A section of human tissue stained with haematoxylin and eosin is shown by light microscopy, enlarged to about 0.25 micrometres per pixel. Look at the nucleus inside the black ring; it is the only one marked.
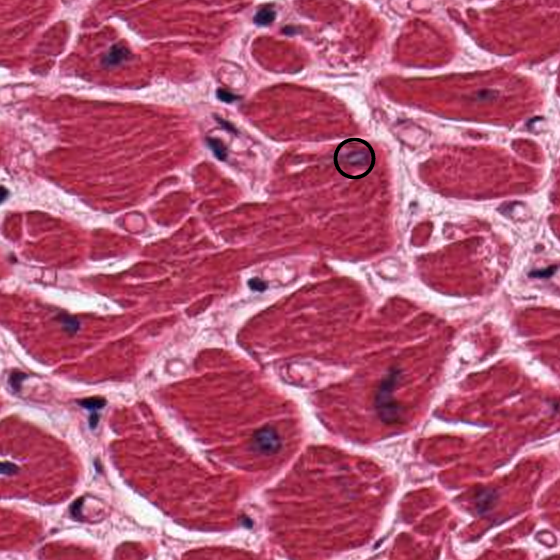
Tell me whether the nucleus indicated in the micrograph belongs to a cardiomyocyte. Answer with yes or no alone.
yes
